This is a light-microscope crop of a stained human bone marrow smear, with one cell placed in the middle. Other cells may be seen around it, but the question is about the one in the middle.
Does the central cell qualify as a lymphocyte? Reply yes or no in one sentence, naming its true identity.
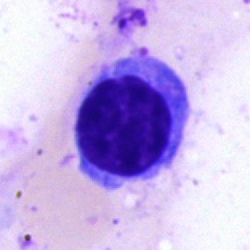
Yes, the cell of interest in the centre is a lymphocyte.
